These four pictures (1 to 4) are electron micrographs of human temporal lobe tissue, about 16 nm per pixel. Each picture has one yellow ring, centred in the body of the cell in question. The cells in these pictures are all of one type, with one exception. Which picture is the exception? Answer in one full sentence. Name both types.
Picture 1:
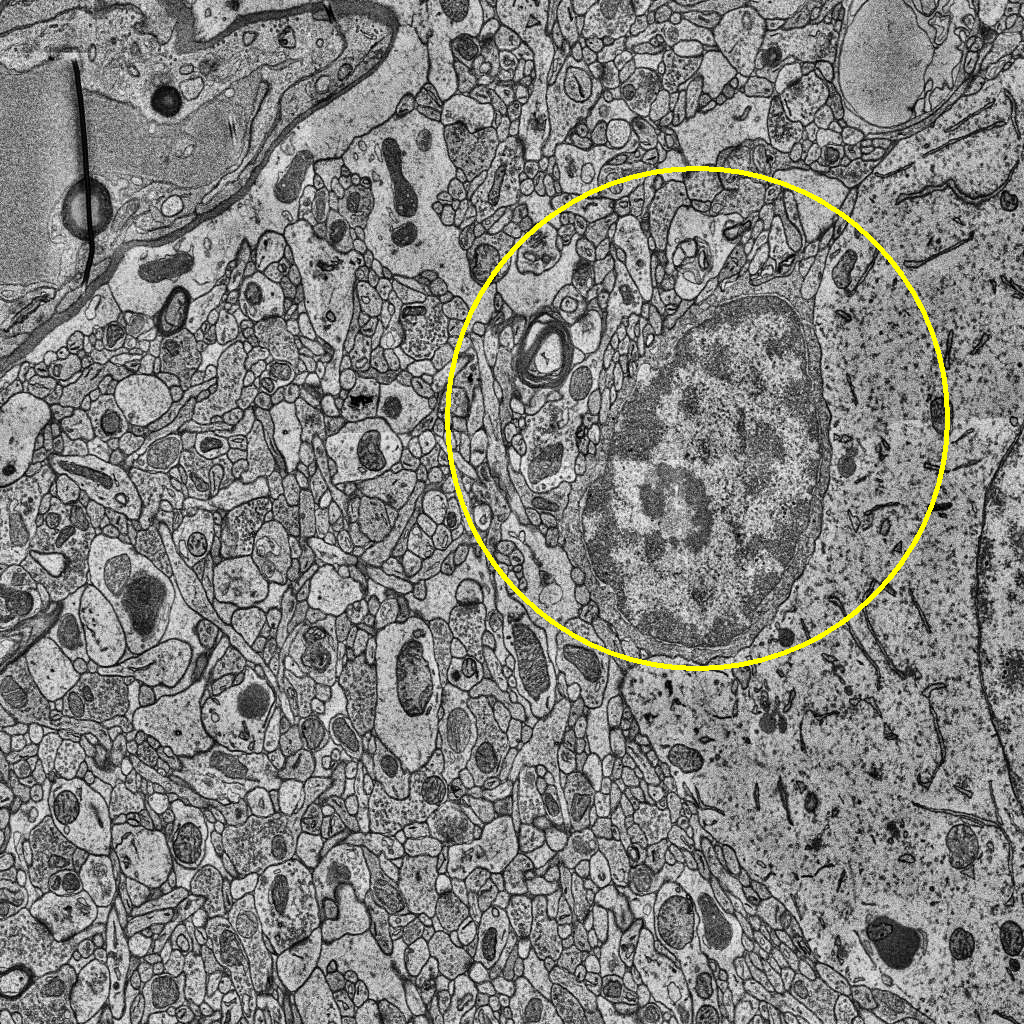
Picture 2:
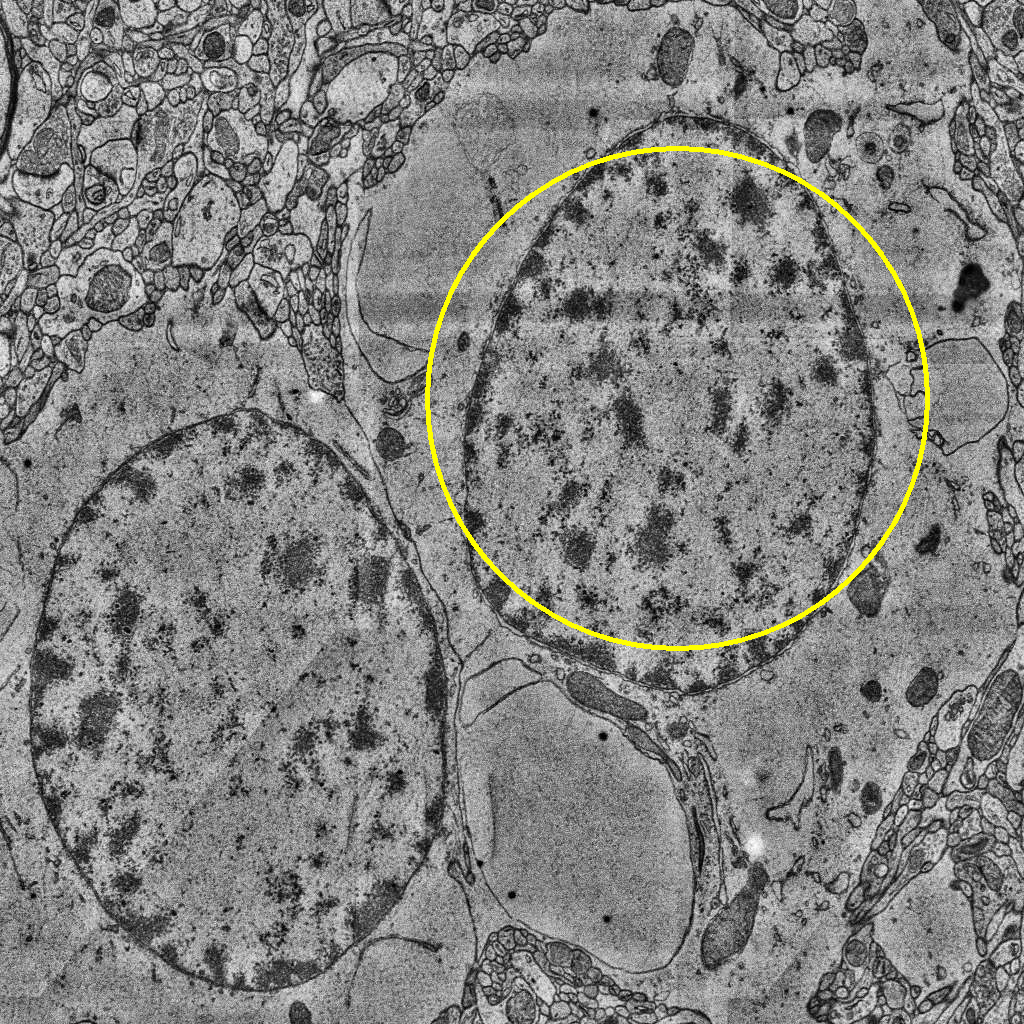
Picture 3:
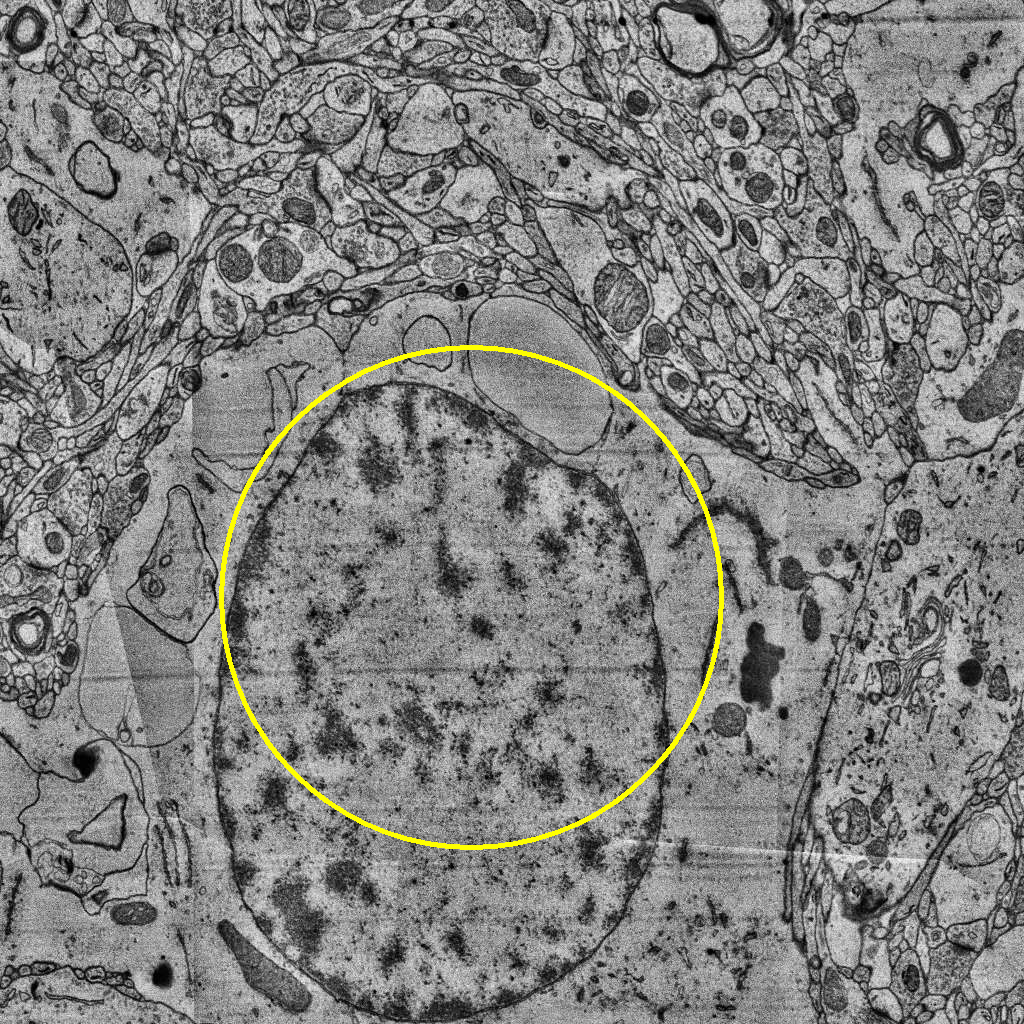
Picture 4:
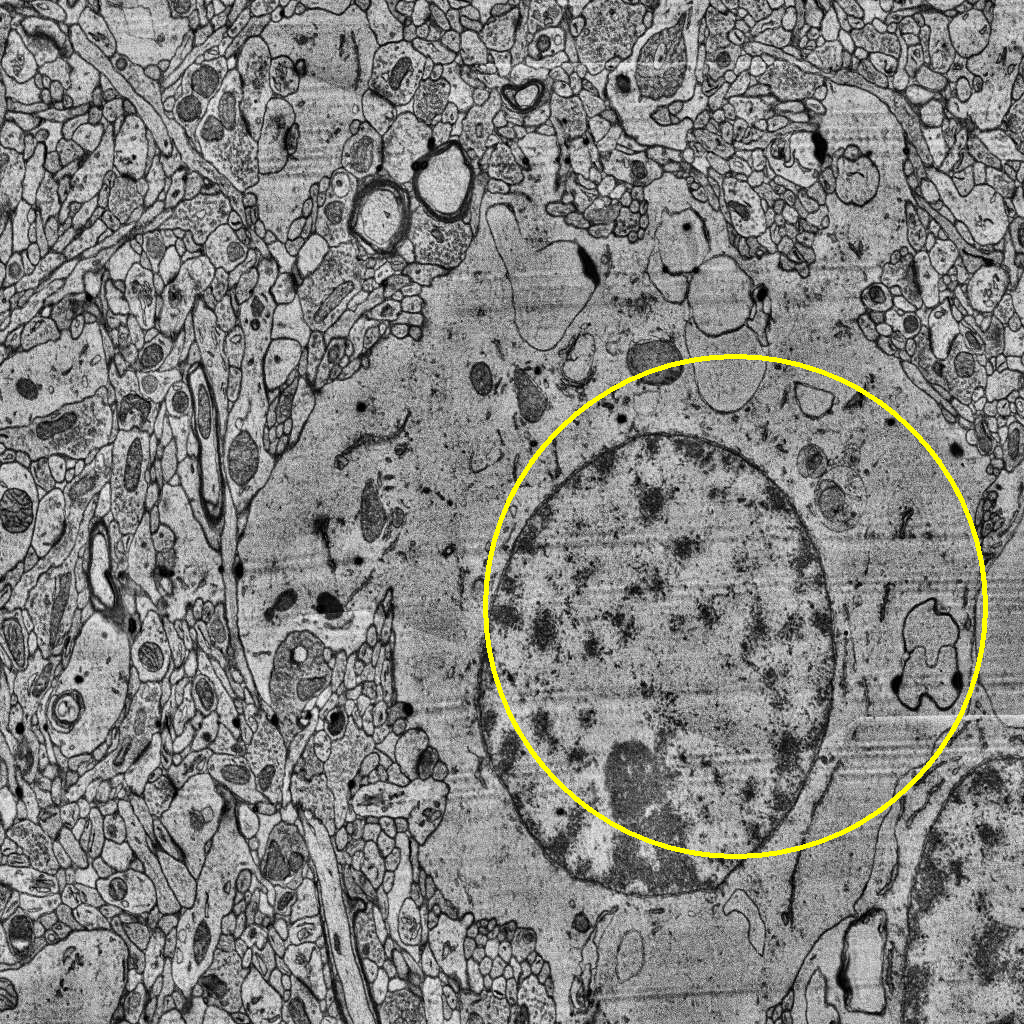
Picture 1 differs, because its cell is an oligodendrocyte and the rest are astrocytes.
